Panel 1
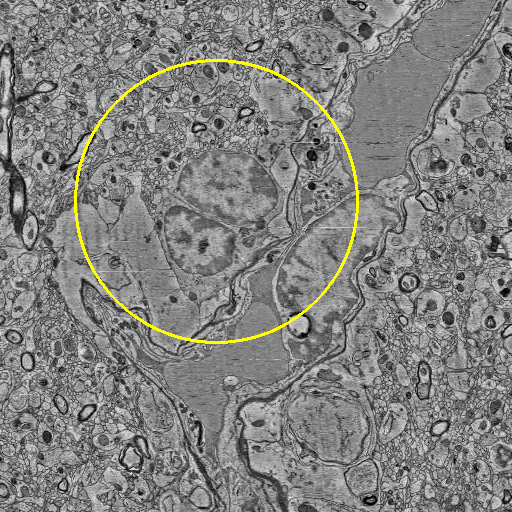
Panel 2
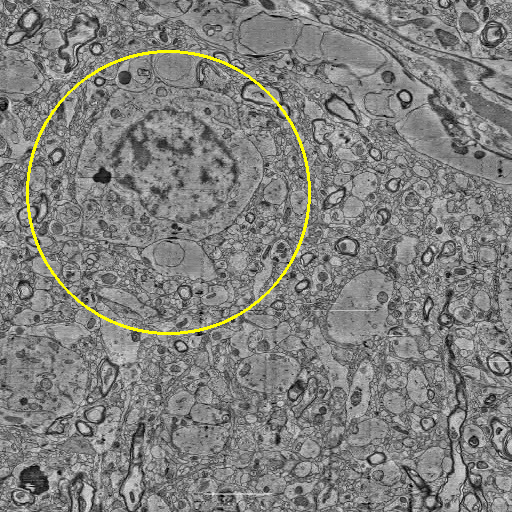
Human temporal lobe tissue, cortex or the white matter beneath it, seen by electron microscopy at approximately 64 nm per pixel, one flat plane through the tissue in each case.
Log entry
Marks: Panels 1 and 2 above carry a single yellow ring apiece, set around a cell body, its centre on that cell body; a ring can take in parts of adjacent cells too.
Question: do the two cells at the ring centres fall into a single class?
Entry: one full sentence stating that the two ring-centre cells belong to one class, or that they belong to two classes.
The two ring-centre cells in Panels 1 and 2 belong to two classes.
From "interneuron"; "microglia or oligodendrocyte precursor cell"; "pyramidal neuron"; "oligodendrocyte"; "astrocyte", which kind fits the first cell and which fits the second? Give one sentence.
The cell marked in the first picture is an oligodendrocyte, and the one marked in the second is an interneuron.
